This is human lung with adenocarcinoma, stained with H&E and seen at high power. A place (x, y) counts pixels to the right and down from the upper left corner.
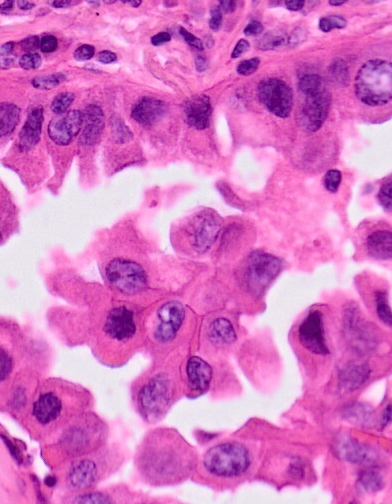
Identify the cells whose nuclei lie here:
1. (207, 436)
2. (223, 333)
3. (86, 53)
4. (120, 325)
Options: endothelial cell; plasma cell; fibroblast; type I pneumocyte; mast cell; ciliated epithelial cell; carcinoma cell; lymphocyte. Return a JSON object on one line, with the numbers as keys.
{"1": "carcinoma cell", "2": "carcinoma cell", "3": "lymphocyte", "4": "carcinoma cell"}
